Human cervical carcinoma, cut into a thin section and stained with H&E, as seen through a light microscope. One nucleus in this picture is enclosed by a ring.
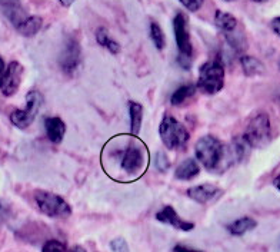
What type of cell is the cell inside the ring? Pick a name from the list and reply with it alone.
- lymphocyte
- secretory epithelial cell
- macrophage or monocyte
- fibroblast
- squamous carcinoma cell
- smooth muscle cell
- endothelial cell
lymphocyte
